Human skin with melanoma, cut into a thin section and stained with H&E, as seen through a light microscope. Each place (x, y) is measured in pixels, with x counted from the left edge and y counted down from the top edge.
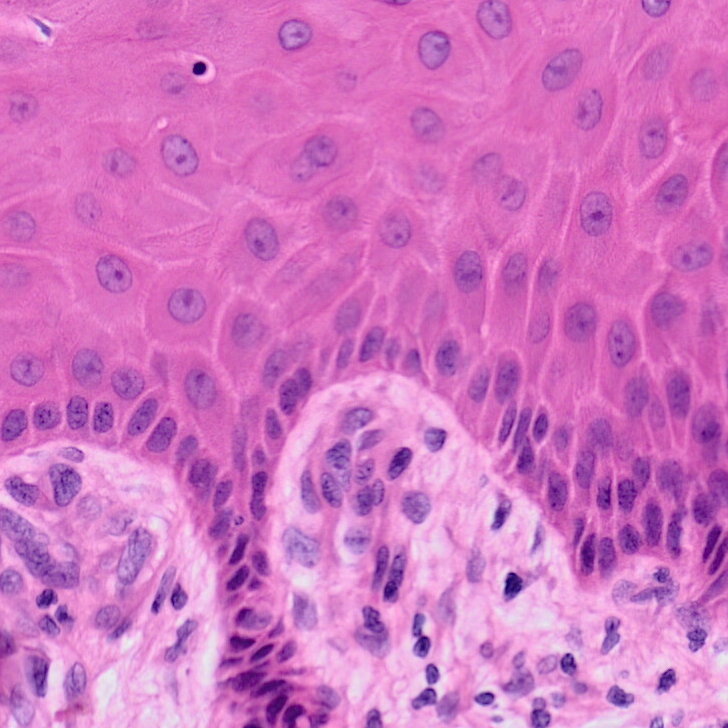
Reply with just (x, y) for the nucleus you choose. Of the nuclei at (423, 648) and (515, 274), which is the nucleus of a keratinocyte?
(515, 274)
